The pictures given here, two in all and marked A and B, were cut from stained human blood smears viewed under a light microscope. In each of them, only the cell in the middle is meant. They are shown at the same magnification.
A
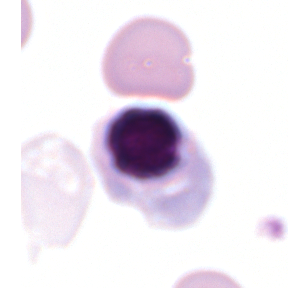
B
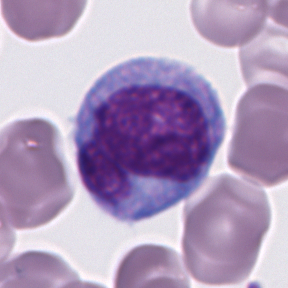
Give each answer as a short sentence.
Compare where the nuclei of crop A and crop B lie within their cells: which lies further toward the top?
It is the nucleus in crop A that lies further toward the top of its cell.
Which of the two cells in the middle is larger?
It is the cell in crop B, about 2 times as large in area as the cell in crop A.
